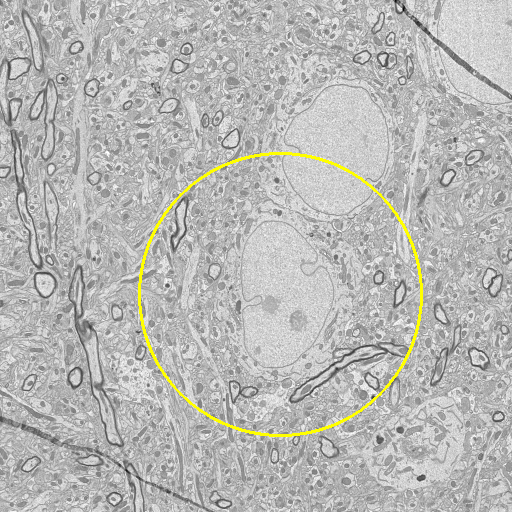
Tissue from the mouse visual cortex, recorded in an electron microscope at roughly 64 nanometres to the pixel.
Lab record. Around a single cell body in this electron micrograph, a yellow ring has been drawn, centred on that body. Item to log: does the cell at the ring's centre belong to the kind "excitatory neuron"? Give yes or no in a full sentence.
Yes, in the micrograph, the ringed cell at the centre belongs to that kind.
